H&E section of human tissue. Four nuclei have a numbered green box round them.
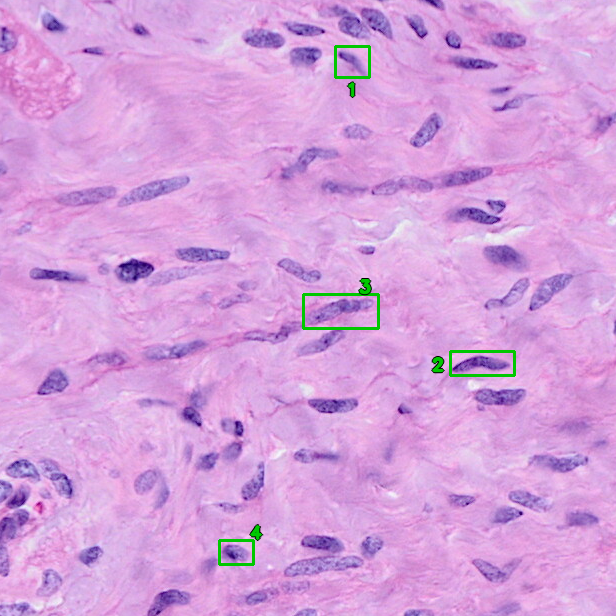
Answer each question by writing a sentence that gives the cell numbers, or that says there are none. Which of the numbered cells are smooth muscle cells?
Cell 3 is the single numbered cell that is a smooth muscle cell.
